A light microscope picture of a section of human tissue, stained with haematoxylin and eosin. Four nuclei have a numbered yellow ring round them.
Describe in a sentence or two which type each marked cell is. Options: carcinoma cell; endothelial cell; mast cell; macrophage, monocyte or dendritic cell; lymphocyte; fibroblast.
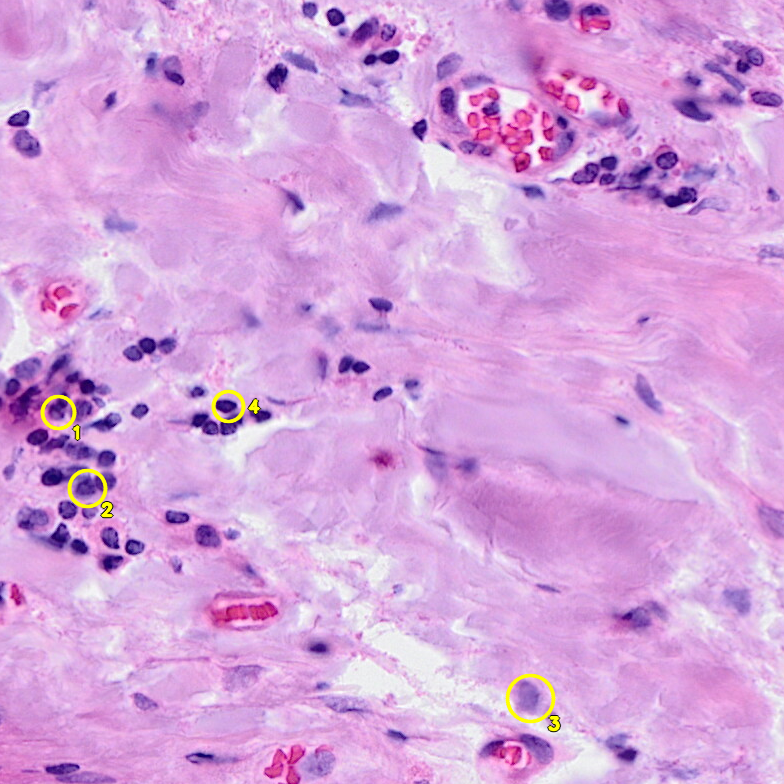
Cell 1 is a lymphocyte, cell 2 is a lymphocyte, cell 3 is a fibroblast and cell 4 is a lymphocyte.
